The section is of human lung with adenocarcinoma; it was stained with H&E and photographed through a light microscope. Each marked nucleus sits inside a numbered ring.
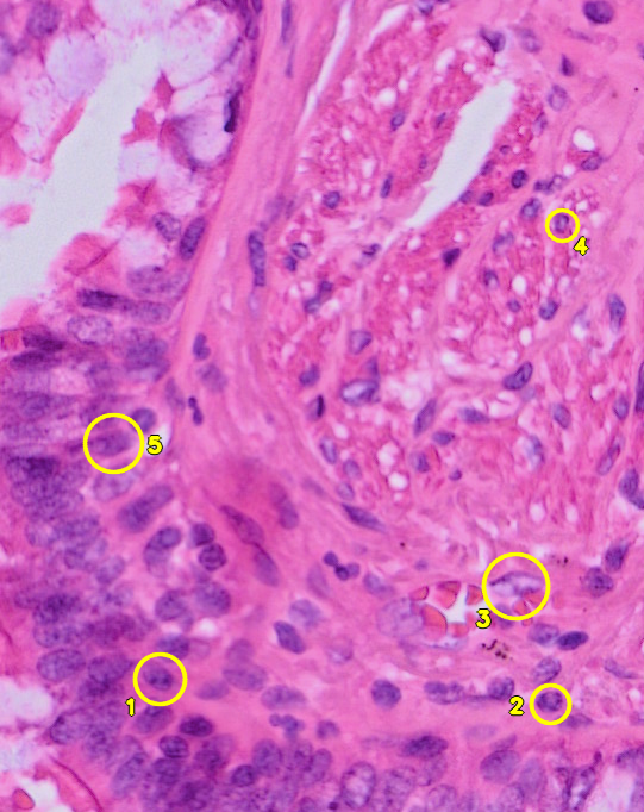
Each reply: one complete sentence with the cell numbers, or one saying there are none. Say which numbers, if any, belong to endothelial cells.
Cell 3 is an endothelial cell, and this holds for no other numbered cell.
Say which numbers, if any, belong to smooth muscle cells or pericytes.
Among the marked cells, cell number 4 alone is a smooth muscle cell or pericyte.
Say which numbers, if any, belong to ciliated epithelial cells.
The cells 1 and 5 in this section are ciliated epithelial cells.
